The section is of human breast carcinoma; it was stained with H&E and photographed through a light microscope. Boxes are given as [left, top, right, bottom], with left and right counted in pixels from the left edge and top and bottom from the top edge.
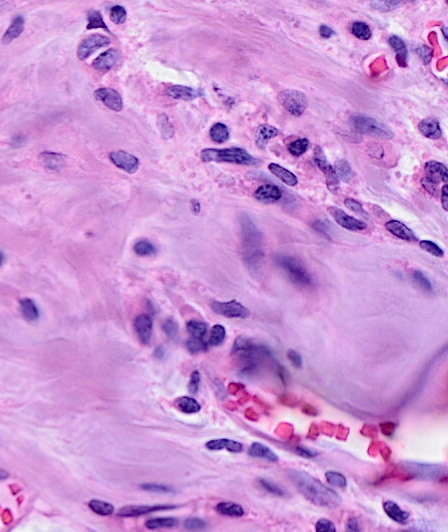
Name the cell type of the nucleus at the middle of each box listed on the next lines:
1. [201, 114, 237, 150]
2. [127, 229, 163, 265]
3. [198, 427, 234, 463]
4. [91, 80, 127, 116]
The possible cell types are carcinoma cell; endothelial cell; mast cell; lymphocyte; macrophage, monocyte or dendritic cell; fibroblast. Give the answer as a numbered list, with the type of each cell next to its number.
1. lymphocyte
2. mast cell
3. lymphocyte
4. macrophage, monocyte or dendritic cell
